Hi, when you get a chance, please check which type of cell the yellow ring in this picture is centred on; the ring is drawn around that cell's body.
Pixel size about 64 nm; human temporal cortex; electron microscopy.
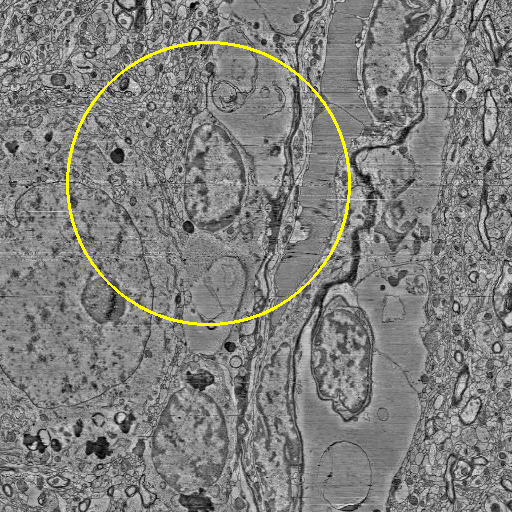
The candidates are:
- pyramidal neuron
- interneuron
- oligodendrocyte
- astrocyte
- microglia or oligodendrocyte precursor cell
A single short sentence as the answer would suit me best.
The ring is drawn around the body of a microglial cell or oligodendrocyte precursor cell.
